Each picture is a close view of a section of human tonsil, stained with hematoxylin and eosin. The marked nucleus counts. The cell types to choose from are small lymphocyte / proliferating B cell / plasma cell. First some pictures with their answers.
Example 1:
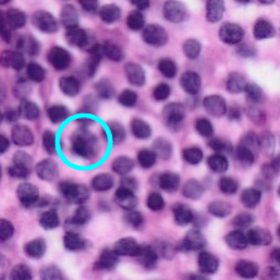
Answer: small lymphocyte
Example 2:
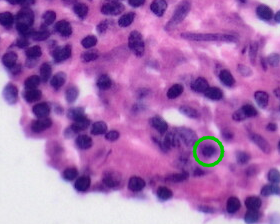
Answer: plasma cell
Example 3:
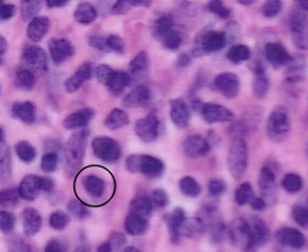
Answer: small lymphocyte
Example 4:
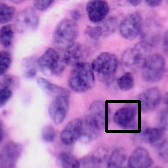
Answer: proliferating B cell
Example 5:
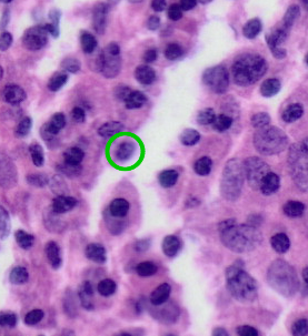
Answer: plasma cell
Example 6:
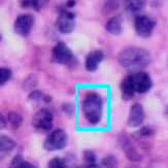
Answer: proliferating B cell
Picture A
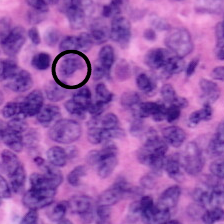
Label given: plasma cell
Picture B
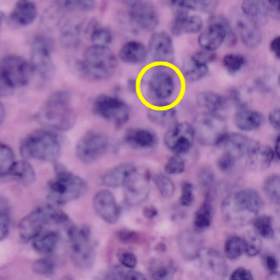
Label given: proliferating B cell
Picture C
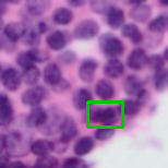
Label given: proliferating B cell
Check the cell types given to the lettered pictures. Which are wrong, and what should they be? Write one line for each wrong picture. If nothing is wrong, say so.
A is labelled plasma cell; correct label: proliferating B cell
C is labelled proliferating B cell; correct label: small lymphocyte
